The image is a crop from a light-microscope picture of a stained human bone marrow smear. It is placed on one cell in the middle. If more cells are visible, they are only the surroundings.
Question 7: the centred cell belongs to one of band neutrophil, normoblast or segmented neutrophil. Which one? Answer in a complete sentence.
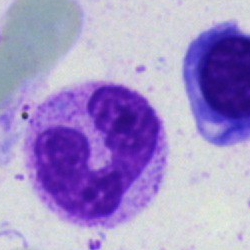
The cell in the exact centre of the crop is a band neutrophil.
